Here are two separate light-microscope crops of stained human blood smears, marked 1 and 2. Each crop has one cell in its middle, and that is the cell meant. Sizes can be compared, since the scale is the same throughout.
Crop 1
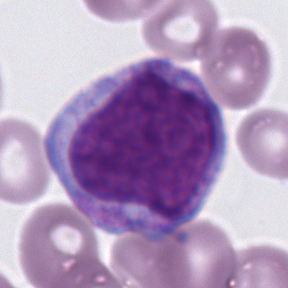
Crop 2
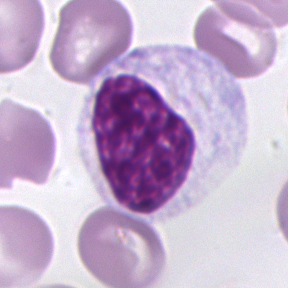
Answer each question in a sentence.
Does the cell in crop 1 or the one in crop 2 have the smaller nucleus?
Smaller is the nucleus in crop 2, and the other is about 1.5 times as large in area.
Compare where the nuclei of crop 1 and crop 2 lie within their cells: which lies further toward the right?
In crop 1 the nucleus is shifted more toward the right.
